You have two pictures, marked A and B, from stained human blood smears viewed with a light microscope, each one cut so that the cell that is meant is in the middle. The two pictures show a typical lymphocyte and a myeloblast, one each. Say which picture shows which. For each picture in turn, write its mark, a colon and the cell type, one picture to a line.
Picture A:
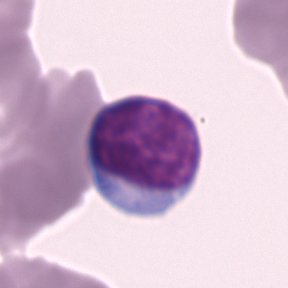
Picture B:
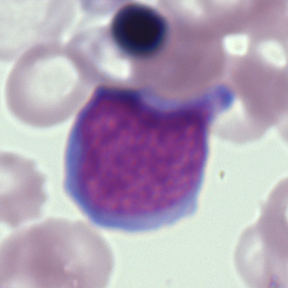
A: typical lymphocyte
B: myeloblast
